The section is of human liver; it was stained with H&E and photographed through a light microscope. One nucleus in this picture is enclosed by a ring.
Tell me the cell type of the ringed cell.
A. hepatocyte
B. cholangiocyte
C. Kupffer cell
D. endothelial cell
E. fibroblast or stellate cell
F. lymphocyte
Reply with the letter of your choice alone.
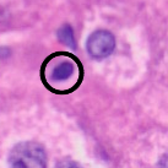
F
